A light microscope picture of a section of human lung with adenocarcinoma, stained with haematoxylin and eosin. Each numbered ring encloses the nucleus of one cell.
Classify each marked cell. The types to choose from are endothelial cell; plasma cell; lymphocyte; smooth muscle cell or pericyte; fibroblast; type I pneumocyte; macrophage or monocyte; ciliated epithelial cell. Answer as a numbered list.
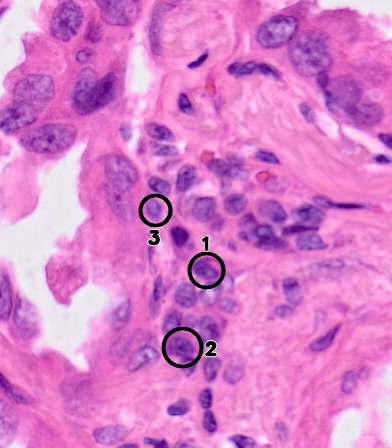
1. plasma cell
2. plasma cell
3. lymphocyte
